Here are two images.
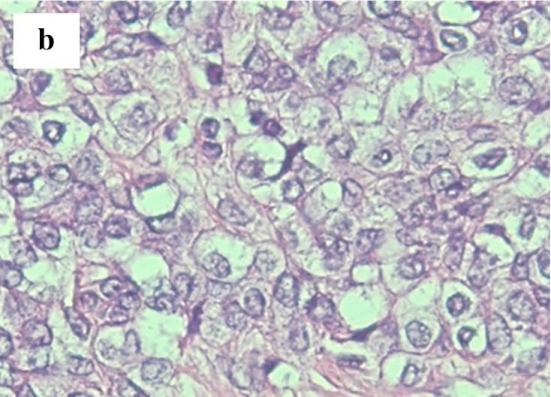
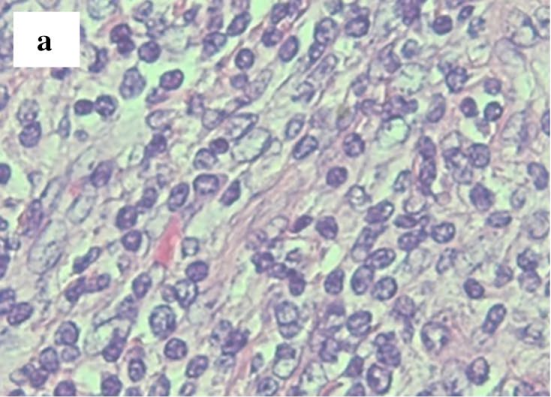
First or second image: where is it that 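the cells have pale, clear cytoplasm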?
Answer: The first image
